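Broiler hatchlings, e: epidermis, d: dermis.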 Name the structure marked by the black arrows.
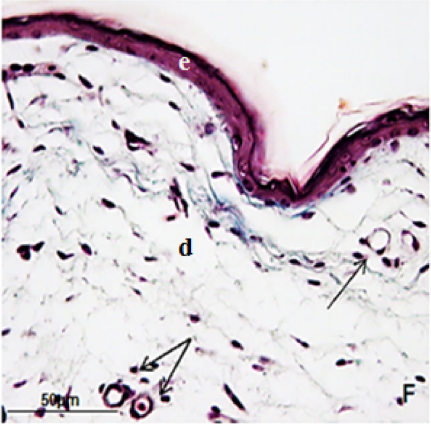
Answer: cross sections of blood vessels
